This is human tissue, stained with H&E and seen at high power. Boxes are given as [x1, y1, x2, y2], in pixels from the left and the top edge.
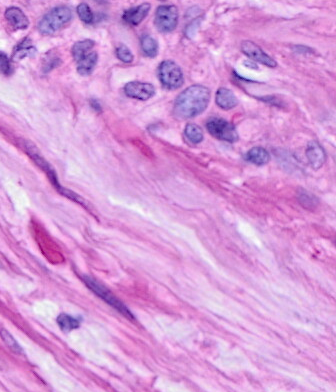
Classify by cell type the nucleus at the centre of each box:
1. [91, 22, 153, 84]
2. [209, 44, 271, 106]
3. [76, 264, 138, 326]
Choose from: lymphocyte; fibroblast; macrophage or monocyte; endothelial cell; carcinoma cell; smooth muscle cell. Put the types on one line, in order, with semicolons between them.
fibroblast; fibroblast; smooth muscle cell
